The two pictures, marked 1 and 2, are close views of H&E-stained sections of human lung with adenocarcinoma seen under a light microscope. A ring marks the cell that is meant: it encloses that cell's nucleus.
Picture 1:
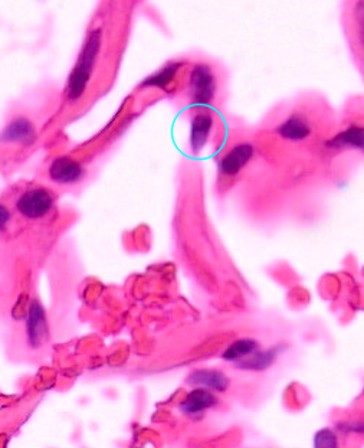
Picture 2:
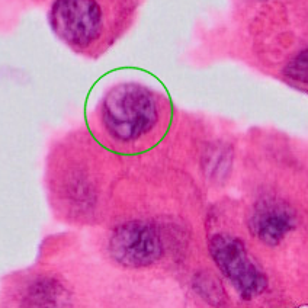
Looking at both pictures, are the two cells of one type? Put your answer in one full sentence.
No, they differ: the cell is a type I pneumocyte in picture 1 and a carcinoma cell in picture 2.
